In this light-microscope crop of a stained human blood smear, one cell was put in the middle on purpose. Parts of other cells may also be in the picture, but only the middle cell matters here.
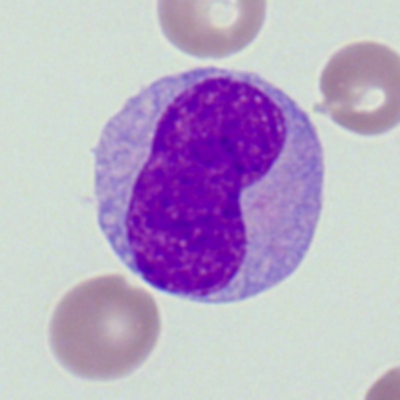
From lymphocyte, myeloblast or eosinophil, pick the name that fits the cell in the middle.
myeloblast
